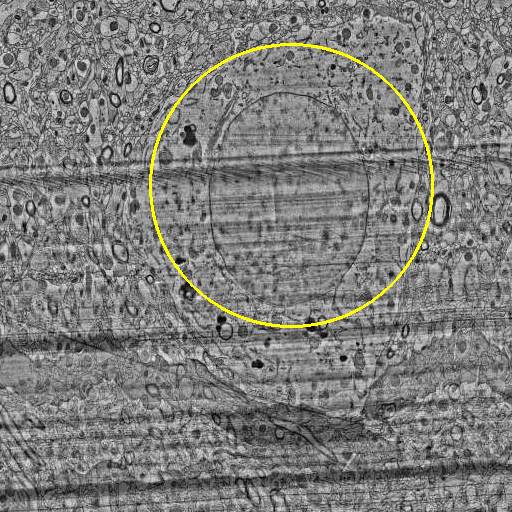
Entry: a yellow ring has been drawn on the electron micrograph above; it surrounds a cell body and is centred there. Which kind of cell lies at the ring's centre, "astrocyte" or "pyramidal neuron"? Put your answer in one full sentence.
The cell sitting at the ring's centre is a pyramidal neuron in the micrograph above.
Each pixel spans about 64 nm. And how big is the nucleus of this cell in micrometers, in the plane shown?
About 13 by 11 micrometers for the nucleus, in this plane.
